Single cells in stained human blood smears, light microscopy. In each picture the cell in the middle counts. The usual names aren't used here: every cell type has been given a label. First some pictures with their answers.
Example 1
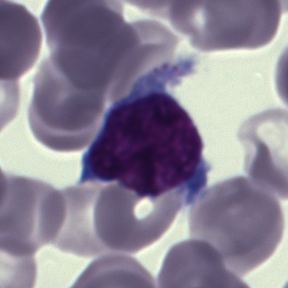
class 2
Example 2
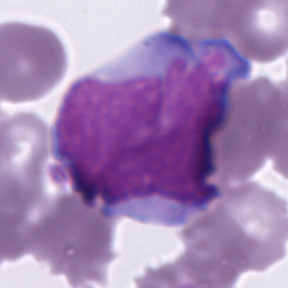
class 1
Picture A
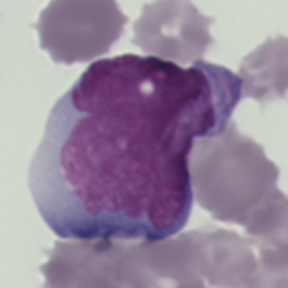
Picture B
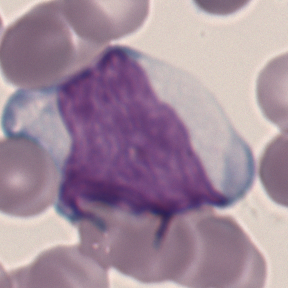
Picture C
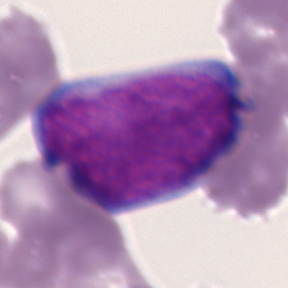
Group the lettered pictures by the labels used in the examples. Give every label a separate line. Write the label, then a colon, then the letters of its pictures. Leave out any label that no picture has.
class 1: A, B, C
